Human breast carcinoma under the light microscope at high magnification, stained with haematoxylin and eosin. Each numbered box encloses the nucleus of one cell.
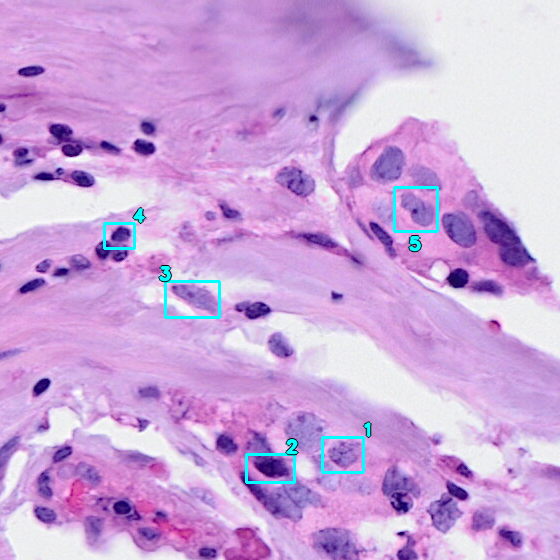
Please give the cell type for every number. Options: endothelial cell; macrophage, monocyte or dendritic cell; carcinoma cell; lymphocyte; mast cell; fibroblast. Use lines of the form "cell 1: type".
cell 1: carcinoma cell
cell 2: carcinoma cell
cell 3: fibroblast
cell 4: lymphocyte
cell 5: carcinoma cell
